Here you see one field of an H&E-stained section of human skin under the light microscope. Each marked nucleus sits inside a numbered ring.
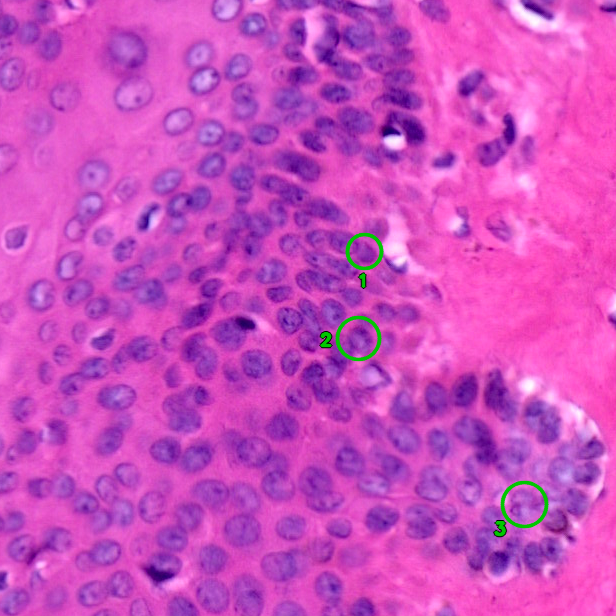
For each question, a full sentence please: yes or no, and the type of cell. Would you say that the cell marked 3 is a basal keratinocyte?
No, it is a suprabasal keratinocyte, rather than a basal keratinocyte, that carries number 3.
